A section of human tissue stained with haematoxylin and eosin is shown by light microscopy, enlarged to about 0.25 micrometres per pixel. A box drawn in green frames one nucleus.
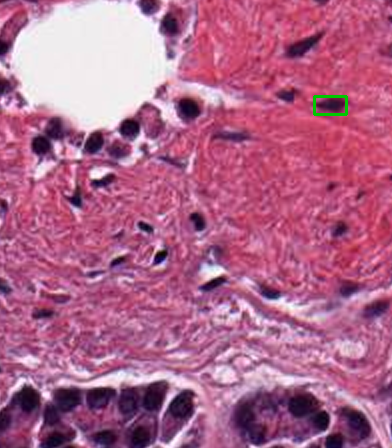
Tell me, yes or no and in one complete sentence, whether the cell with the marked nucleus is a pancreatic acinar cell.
No, rather than a pancreatic acinar cell, it is a supporting cell that contains the marked nucleus.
